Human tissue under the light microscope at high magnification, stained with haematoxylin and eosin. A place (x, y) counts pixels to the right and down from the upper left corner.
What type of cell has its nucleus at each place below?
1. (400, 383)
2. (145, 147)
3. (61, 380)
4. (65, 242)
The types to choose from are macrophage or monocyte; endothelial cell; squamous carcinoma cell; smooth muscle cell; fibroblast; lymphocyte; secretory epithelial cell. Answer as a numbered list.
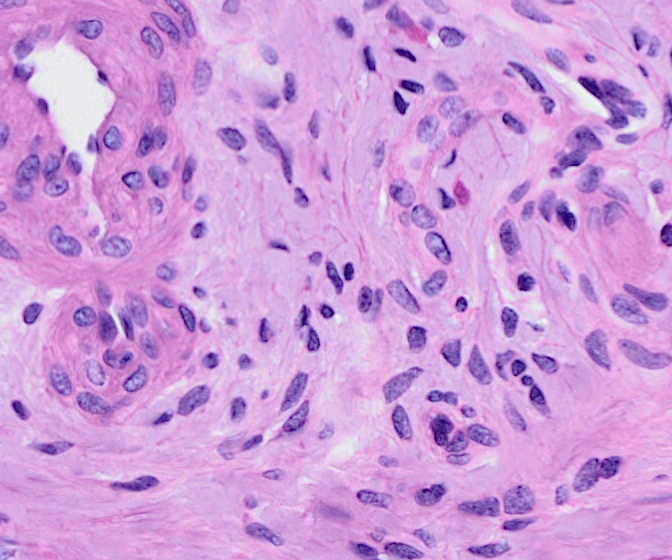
1. fibroblast
2. smooth muscle cell
3. smooth muscle cell
4. smooth muscle cell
